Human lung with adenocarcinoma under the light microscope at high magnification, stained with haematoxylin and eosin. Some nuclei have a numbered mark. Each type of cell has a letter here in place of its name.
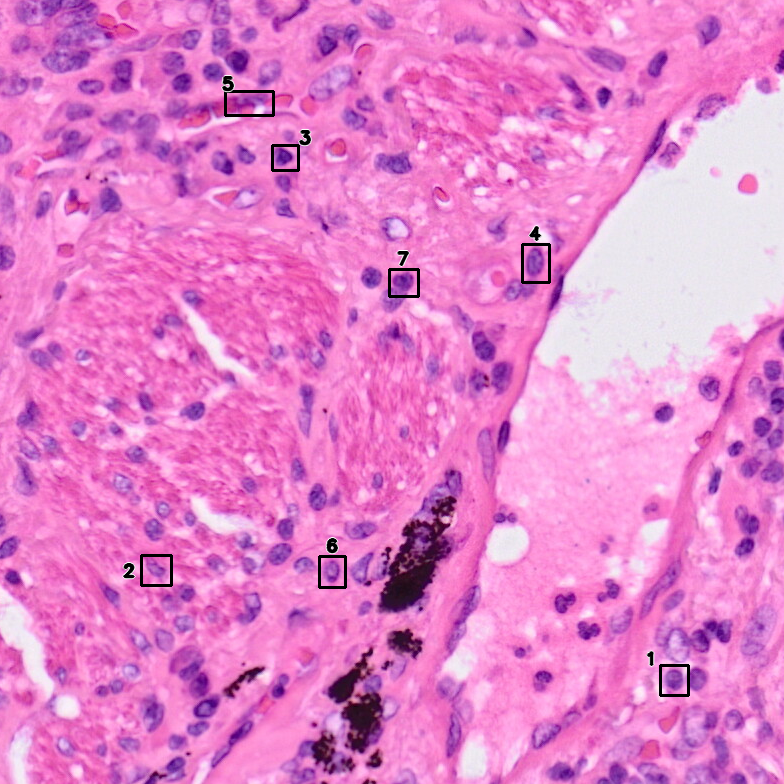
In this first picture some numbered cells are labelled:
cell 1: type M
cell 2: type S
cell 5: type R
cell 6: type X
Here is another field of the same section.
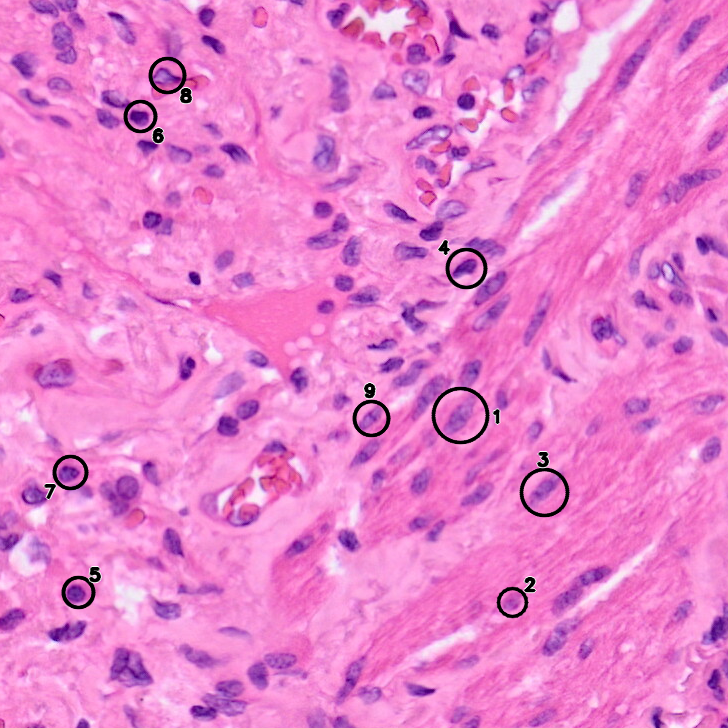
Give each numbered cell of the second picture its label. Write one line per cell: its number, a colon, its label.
1: type S
2: type S
3: type S
4: type X
5: type X
6: type M
7: type X
8: type R
9: type S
